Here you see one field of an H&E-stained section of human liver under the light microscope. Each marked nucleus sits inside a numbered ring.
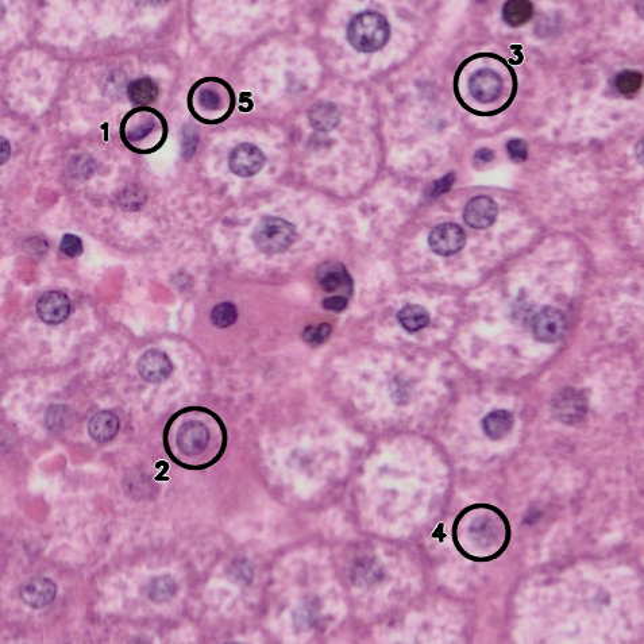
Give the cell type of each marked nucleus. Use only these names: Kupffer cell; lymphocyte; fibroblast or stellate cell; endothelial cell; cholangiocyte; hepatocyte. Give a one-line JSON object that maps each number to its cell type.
{"1": "fibroblast or stellate cell", "2": "hepatocyte", "3": "hepatocyte", "4": "hepatocyte", "5": "lymphocyte"}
